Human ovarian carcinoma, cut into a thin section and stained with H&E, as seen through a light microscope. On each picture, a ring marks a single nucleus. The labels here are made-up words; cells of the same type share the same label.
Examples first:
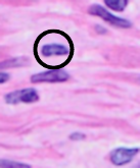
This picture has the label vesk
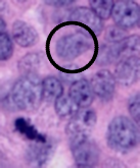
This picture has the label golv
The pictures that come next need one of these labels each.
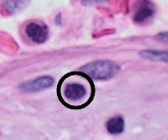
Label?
vesk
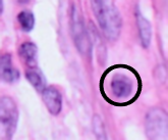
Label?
vesk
